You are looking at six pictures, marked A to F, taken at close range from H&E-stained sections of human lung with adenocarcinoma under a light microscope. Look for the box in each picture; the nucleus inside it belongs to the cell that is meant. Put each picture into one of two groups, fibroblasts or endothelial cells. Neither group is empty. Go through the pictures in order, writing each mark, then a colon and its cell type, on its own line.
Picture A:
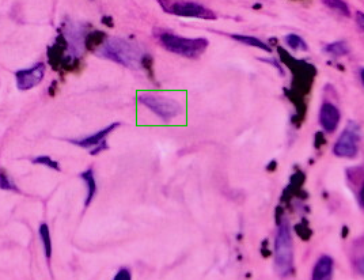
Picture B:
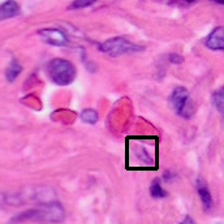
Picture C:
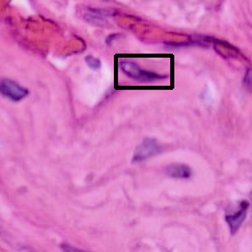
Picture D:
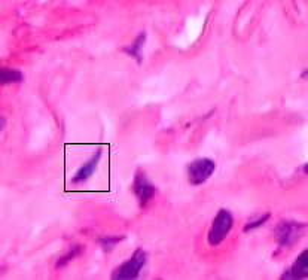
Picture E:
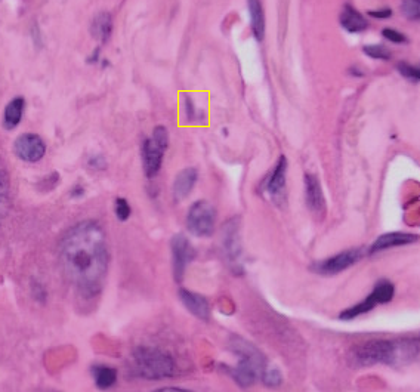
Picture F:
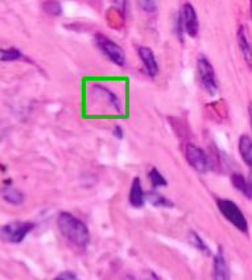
A: fibroblast
B: endothelial cell
C: endothelial cell
D: fibroblast
E: fibroblast
F: fibroblast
